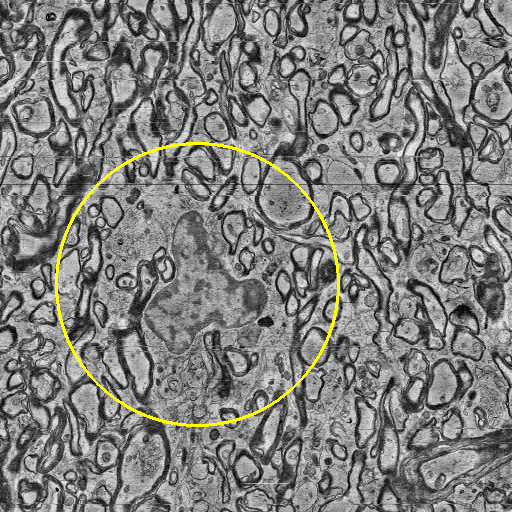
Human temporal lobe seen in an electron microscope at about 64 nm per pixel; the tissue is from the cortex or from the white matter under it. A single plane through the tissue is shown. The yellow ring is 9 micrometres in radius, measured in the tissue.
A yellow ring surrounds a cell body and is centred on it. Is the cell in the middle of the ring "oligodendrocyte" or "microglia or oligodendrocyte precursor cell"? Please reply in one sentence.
The ring is centred on a microglial cell or oligodendrocyte precursor cell.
